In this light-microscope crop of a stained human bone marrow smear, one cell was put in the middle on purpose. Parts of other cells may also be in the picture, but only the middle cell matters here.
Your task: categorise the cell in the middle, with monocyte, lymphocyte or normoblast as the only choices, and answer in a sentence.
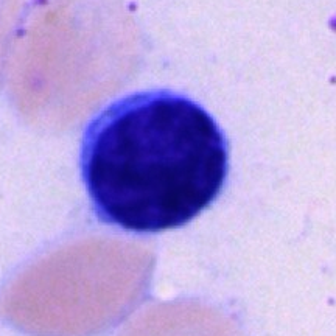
For this crop, the central cell is a lymphocyte.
